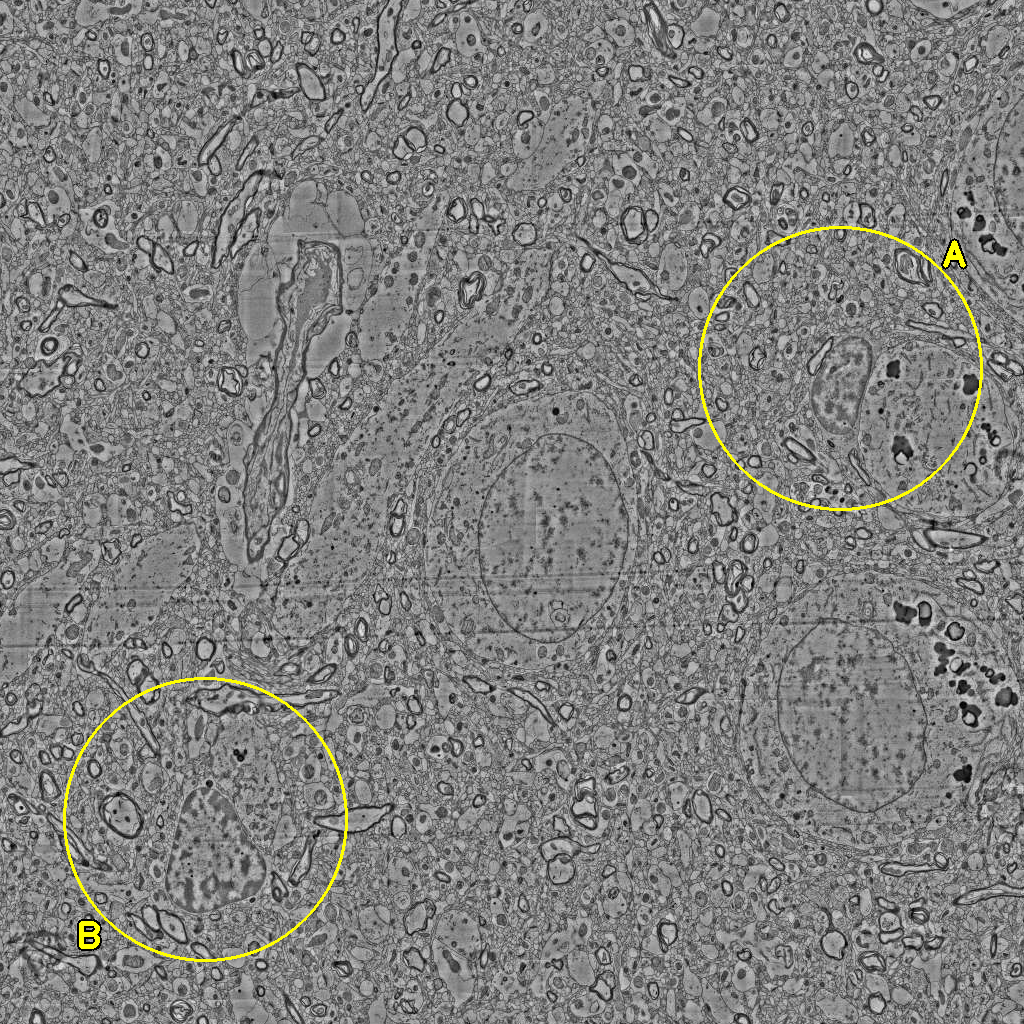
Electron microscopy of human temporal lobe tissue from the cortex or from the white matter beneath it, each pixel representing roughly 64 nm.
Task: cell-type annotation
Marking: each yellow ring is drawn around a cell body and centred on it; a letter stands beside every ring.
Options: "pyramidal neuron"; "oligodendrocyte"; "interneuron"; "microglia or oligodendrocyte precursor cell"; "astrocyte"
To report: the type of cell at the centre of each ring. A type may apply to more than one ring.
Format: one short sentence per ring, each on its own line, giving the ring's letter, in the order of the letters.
Ring A is centred on an oligodendrocyte.
Ring B is centred on a microglial cell or oligodendrocyte precursor cell.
